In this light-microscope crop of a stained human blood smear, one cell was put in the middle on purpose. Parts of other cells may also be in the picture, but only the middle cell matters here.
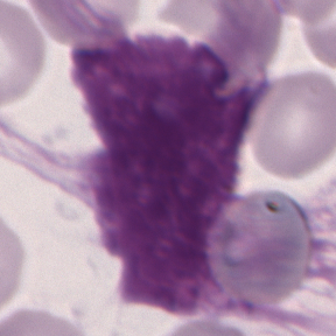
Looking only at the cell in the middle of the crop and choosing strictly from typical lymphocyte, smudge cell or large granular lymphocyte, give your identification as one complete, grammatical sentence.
What the crop centres on is a smudge cell.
